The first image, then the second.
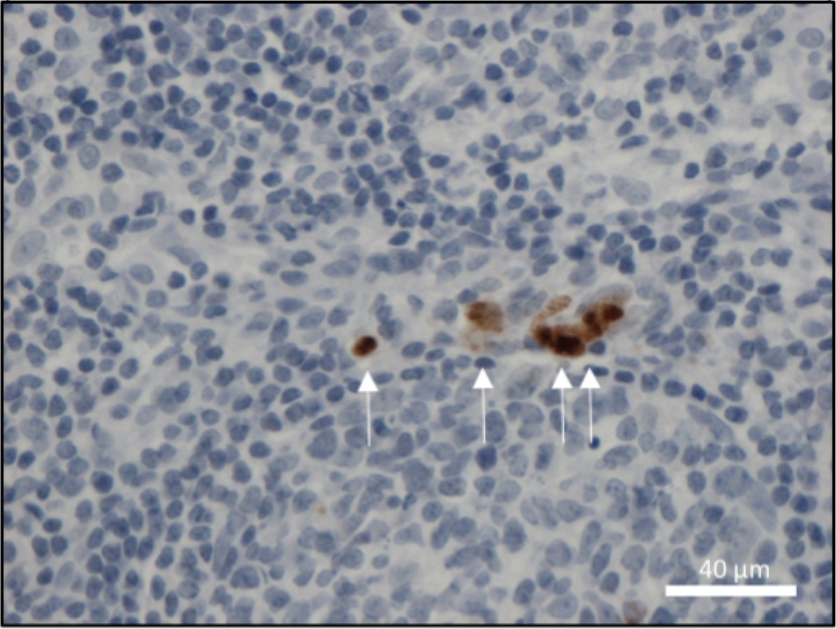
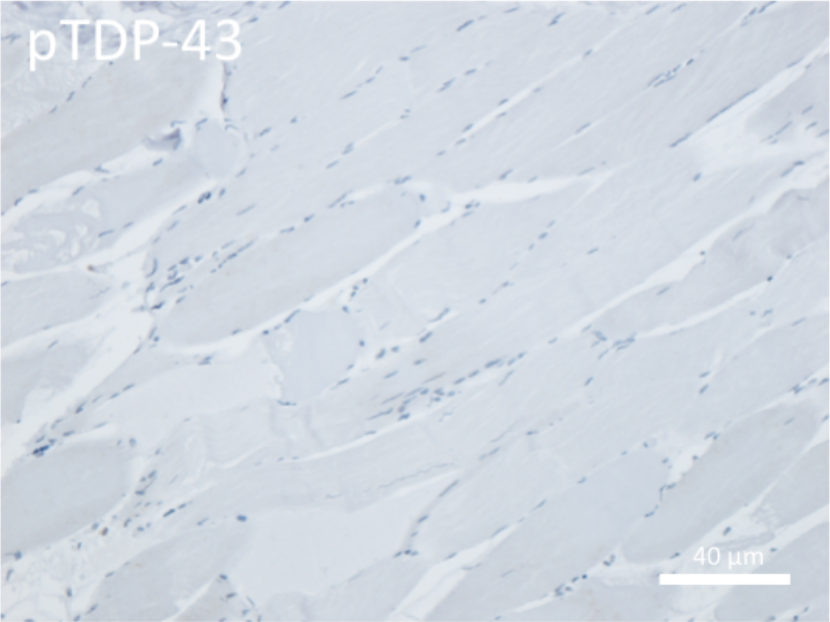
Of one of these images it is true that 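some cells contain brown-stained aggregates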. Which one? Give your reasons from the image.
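Second image: only blue counterstain, no brown deposits. First image: a row of brown granular deposits in a few cells.
Hence: the first image.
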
